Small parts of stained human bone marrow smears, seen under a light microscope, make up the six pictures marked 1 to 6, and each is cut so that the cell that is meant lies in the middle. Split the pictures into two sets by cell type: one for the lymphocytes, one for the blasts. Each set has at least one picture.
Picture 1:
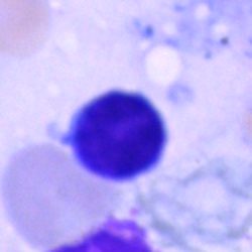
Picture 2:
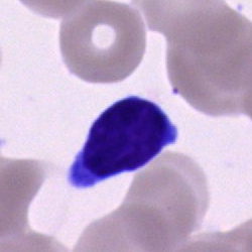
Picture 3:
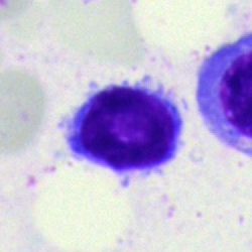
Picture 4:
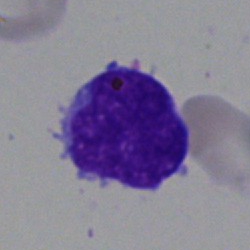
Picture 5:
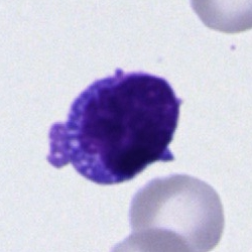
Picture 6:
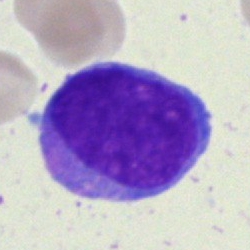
1: lymphocyte
2: lymphocyte
3: lymphocyte
4: blast
5: blast
6: blast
